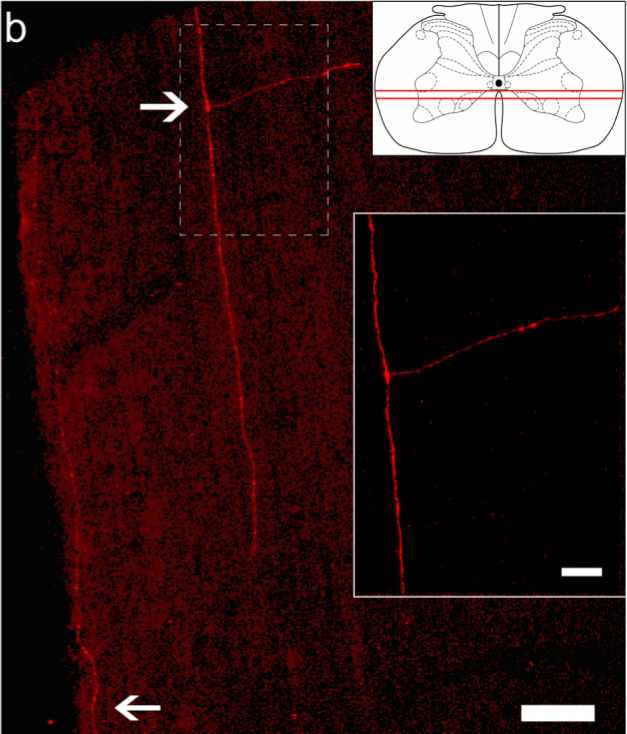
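A longitudinal section of spinal cord white matter shows long, thin red axons running lengthwise, one through the middle of the field and another near the left edge. Along the upper part of the central axon a fine collateral branches off at a near right angle, with a small varicosity at the branch point, and extends sideways; an enlarged inset shows this branch point. The background is a speckled dim red without labeled cell bodies.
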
